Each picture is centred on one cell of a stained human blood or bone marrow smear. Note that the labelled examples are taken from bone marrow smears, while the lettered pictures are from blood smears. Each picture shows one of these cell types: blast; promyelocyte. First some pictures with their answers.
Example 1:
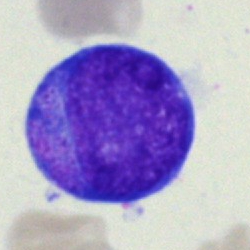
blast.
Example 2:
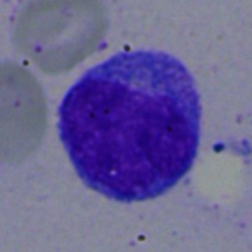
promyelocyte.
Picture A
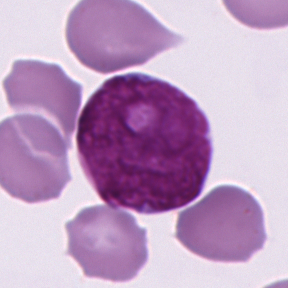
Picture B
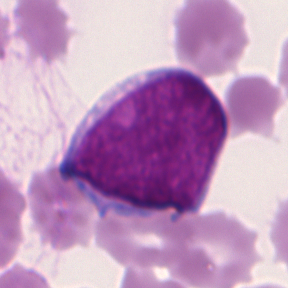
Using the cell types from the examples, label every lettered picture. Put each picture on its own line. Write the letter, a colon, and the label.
A: blast.
B: blast.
